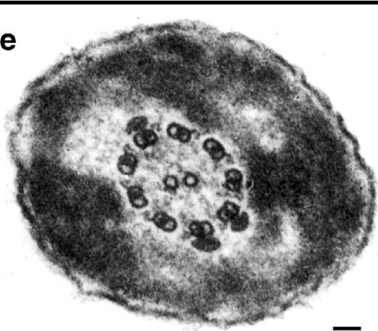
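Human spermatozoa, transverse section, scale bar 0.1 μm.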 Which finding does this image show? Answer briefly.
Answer: thick disordered periaxonemal rings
